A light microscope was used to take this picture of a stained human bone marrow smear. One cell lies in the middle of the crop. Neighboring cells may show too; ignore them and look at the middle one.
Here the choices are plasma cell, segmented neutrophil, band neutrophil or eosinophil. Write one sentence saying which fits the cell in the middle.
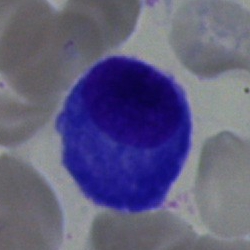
The cell shown in the center of this light-microscope crop is a plasma cell.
